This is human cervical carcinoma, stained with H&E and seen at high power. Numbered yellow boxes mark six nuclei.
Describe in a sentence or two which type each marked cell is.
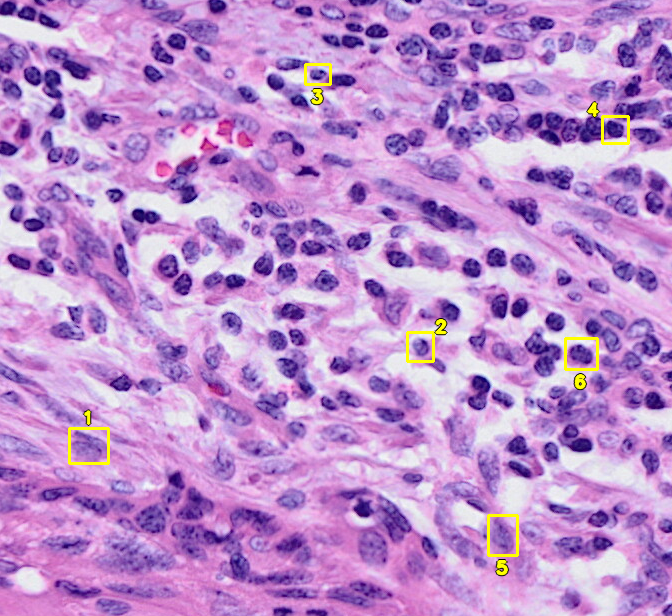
Cell 1 is a fibroblast, cell 2 is a lymphocyte, cell 3 is a lymphocyte, cell 4 is a lymphocyte, cell 5 is an endothelial cell and cell 6 is a lymphocyte.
